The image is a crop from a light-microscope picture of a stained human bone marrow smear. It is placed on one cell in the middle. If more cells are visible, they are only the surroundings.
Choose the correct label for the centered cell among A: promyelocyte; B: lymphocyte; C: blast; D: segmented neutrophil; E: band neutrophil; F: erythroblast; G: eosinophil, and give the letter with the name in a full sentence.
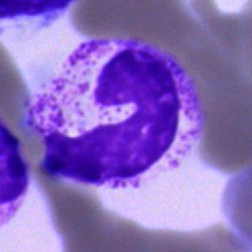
Option E is the correct one; it names the central cell as a band neutrophil.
